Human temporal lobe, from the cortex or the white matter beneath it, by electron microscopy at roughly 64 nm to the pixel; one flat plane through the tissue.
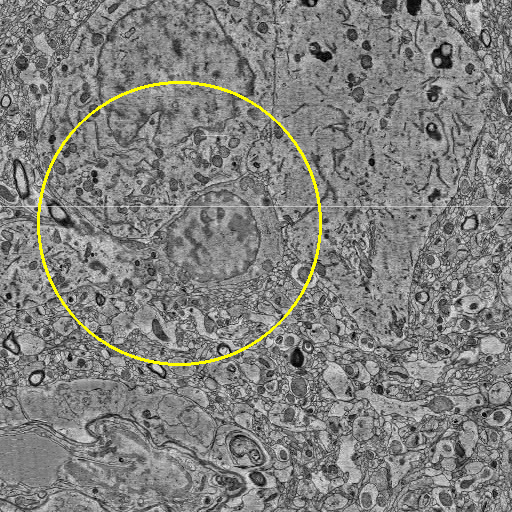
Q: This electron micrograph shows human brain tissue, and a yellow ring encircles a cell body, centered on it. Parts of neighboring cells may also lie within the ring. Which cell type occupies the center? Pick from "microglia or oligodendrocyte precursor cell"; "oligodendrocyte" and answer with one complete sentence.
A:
What sits at the ring's center in this micrograph is an oligodendrocyte, among those choices.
